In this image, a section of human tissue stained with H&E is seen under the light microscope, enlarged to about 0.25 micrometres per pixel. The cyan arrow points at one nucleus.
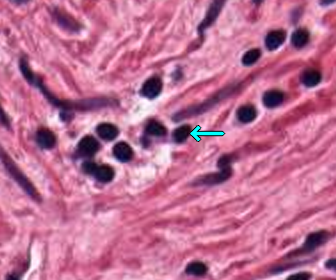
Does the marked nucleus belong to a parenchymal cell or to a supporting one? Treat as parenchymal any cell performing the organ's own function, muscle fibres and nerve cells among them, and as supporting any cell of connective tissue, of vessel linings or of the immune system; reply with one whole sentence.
The marked nucleus is designated as the nucleus of a supporting cell.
